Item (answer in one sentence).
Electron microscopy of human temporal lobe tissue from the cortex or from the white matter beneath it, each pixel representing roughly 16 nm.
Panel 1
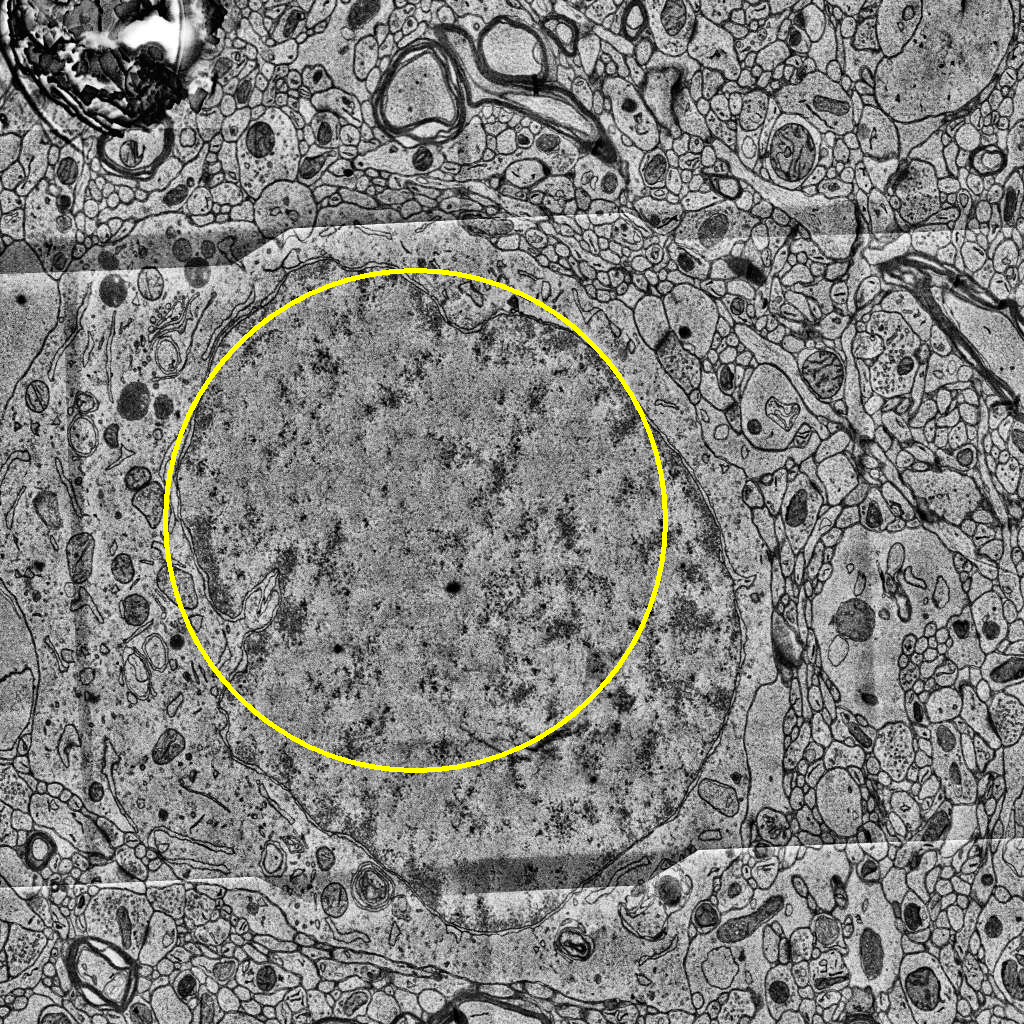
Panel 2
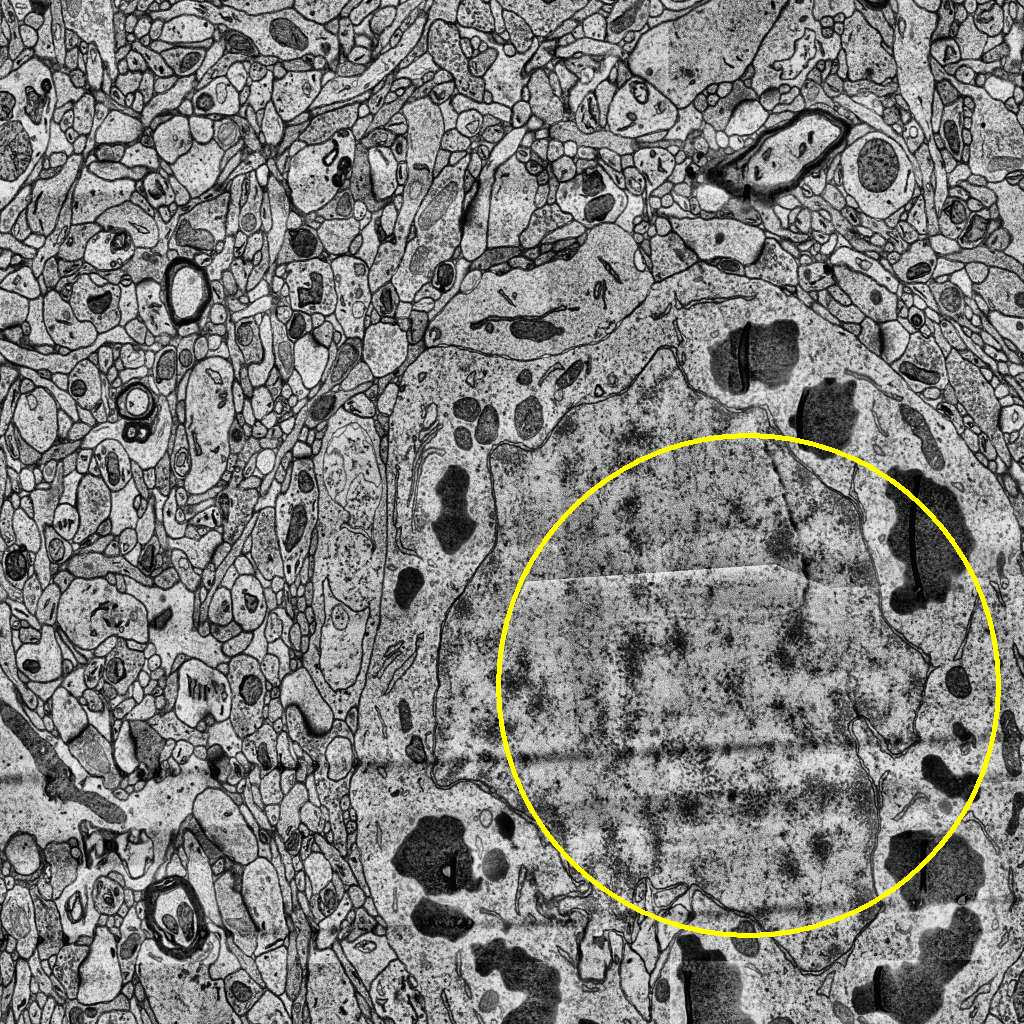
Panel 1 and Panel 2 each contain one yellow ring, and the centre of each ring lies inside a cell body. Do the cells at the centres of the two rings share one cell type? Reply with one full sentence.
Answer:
Yes, Panel 1 and Panel 2 show cells of one type at the centres of their rings.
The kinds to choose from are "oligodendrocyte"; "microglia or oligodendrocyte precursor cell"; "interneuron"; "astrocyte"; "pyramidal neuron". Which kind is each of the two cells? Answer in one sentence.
The second cell is an interneuron, just as the first is.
